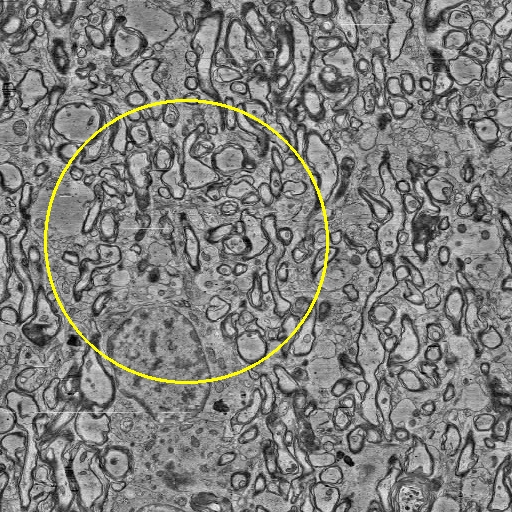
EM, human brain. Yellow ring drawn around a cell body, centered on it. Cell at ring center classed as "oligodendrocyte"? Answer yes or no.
yes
